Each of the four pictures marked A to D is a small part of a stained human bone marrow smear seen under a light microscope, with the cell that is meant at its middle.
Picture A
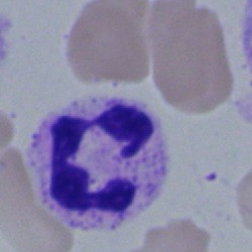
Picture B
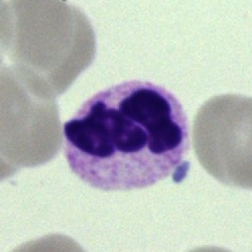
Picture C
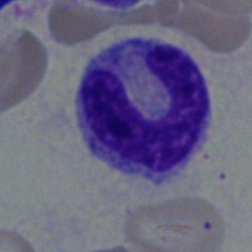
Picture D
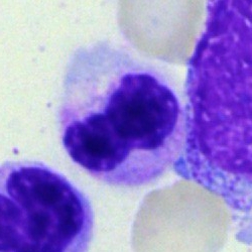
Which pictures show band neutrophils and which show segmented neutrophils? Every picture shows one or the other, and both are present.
A: segmented neutrophil
B: segmented neutrophil
C: band neutrophil
D: band neutrophil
